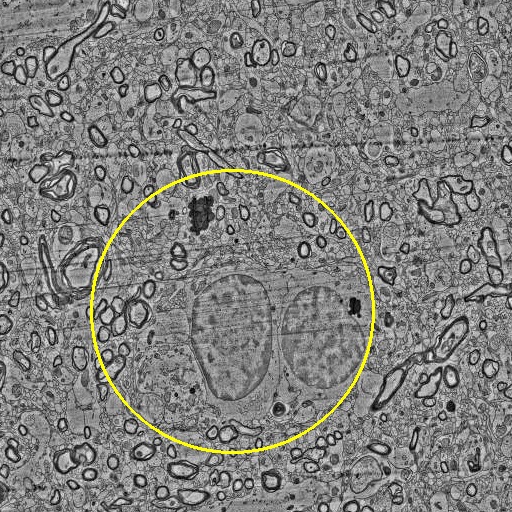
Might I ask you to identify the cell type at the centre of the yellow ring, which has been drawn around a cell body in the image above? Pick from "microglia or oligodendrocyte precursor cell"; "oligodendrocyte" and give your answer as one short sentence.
The centre of the ring falls on an oligodendrocyte.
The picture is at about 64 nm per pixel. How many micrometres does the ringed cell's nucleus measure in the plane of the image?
Roughly 8 micrometres long and 5 micrometres wide; in this plane the nucleus is clearly longer than it is wide.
